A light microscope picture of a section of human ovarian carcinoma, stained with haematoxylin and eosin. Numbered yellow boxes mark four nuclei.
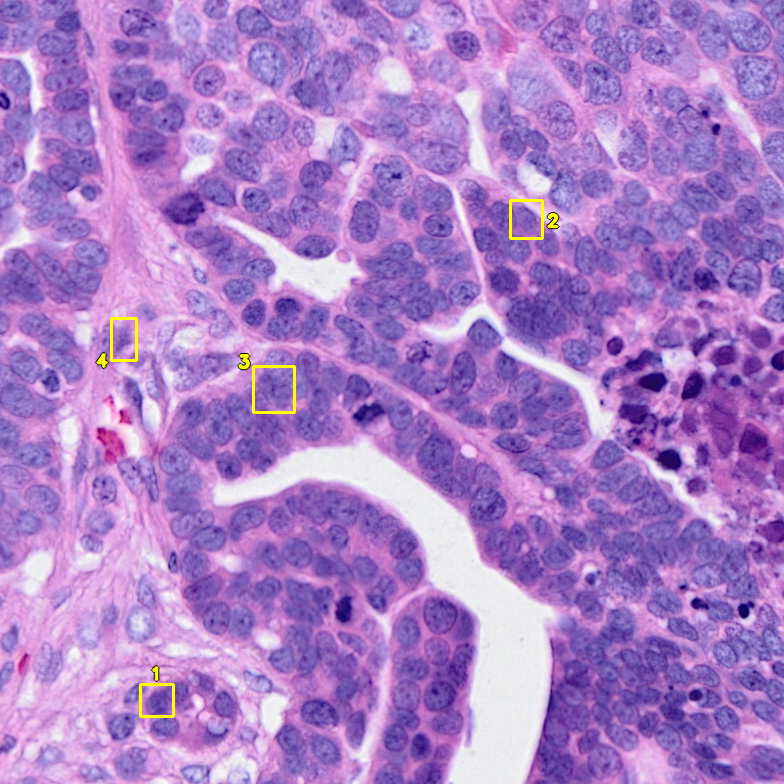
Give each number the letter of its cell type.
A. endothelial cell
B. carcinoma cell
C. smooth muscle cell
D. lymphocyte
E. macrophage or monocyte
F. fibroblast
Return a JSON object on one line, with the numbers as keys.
{"1": "B", "2": "B", "3": "B", "4": "F"}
